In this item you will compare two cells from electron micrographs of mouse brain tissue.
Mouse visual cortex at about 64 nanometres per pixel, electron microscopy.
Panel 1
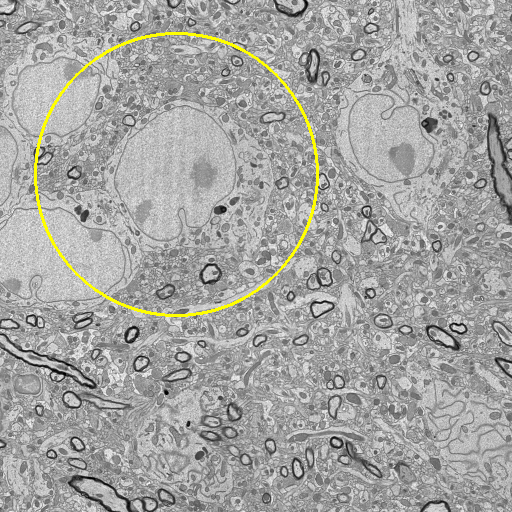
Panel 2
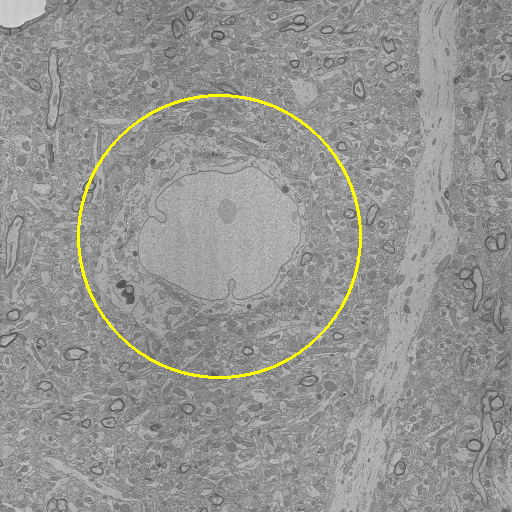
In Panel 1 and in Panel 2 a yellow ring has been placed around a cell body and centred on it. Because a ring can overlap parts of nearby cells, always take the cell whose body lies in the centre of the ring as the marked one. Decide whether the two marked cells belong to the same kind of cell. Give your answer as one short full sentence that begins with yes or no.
Yes, the two marked cells belong to the same kind of cell.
